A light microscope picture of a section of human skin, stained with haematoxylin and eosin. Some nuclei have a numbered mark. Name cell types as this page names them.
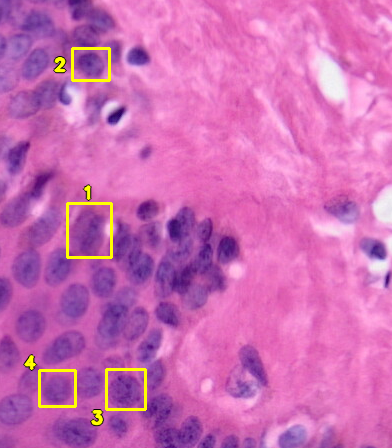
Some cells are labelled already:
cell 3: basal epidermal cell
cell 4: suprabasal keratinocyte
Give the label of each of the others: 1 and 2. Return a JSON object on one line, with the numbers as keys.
{"1": "basal epidermal cell", "2": "basal epidermal cell"}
